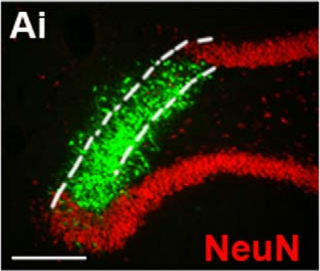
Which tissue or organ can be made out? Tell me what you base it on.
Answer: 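Hippocampus. A green cluster lies along one limb of the curved band.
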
